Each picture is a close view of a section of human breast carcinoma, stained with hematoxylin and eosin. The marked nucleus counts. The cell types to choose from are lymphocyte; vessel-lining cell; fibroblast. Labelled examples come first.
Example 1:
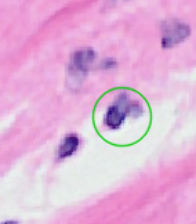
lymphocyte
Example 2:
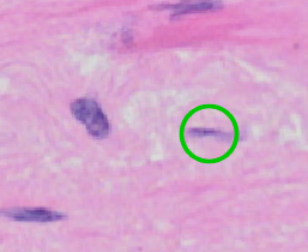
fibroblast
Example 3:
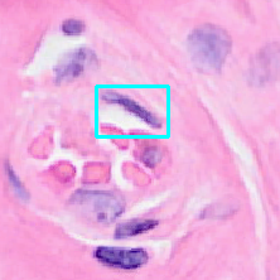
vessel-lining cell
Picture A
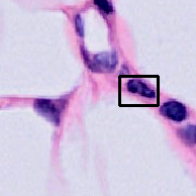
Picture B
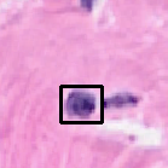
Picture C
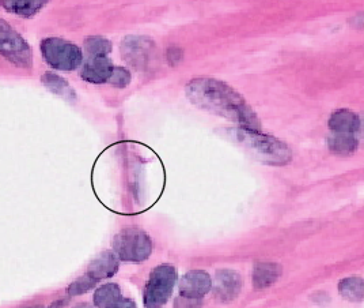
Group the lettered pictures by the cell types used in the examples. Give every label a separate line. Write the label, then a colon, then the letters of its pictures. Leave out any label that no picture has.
lymphocyte: A, B
vessel-lining cell: C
